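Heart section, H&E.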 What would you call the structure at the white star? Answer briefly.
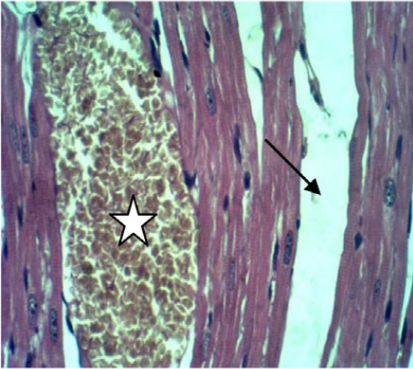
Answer: congested vascular space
